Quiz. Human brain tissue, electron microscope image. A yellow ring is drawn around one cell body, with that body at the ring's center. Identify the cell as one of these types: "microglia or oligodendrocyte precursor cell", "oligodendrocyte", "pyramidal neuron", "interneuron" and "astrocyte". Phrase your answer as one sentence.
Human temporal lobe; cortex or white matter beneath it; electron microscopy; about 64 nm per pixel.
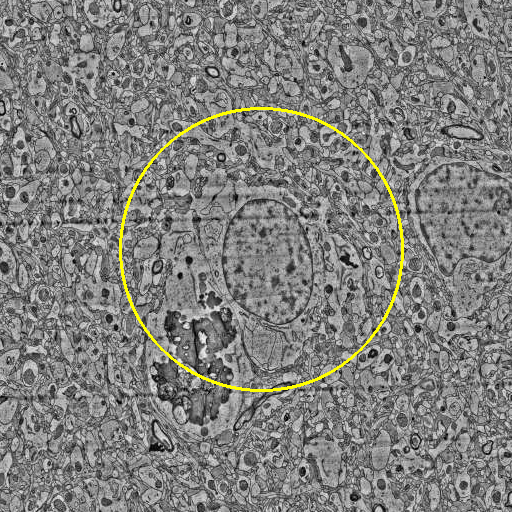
At the center of the ring sits an astrocyte.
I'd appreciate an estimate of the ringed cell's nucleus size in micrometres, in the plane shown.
In this plane, the nucleus of the cell at the centre of the ring measures about 8 by 6 micrometres.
